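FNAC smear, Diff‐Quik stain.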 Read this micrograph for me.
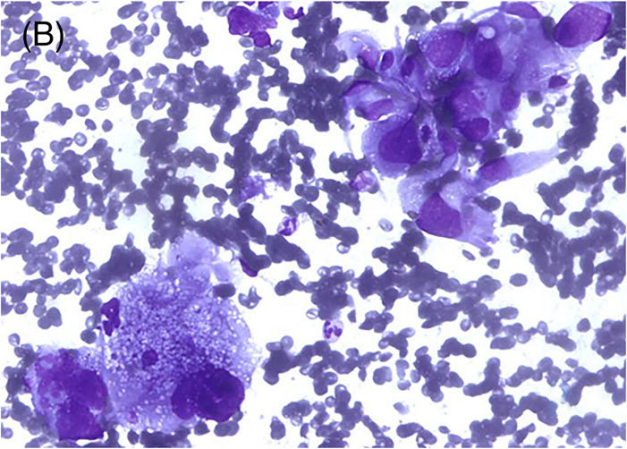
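The tumour cells vary considerably in size and shape, with large dark purple nuclei of differing outlines. One cell at lower left has abundant pale cytoplasm filled with many small clear vacuoles and an eccentric dark nucleus. In the cluster at upper right, cells with large nuclei overlap, and some have elongated, tailed cytoplasm.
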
